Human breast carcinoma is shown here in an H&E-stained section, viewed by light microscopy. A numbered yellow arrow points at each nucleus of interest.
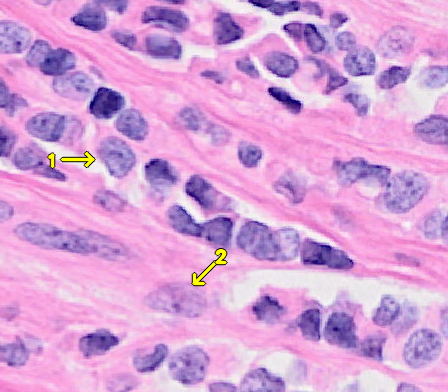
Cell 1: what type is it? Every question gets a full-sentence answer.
The marked cell bearing number 1 is a carcinoma cell.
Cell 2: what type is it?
The cell marked with the number 2 is a fibroblast.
